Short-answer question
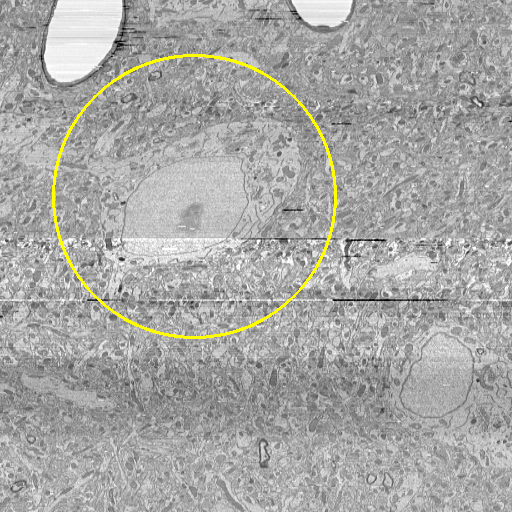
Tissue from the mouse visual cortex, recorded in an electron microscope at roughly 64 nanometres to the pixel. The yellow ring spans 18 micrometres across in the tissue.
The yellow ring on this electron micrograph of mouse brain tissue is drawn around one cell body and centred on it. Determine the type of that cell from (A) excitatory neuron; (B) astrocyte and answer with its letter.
A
